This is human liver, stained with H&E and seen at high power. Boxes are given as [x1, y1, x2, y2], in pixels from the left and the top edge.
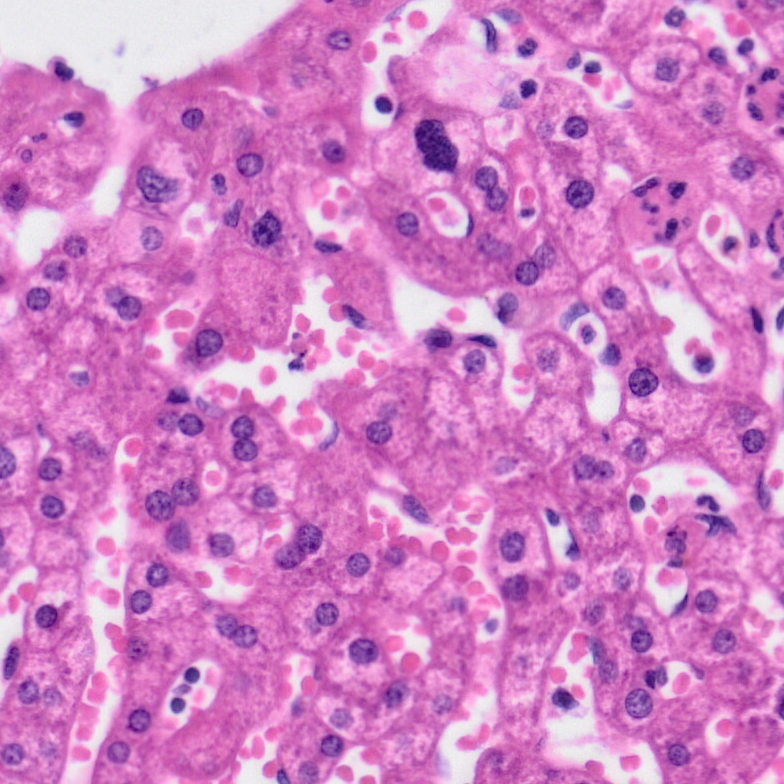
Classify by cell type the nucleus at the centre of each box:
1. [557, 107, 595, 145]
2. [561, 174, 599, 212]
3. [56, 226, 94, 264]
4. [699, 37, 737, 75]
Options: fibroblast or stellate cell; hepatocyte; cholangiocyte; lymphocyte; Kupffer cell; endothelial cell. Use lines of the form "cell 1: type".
cell 1: hepatocyte
cell 2: hepatocyte
cell 3: hepatocyte
cell 4: Kupffer cell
